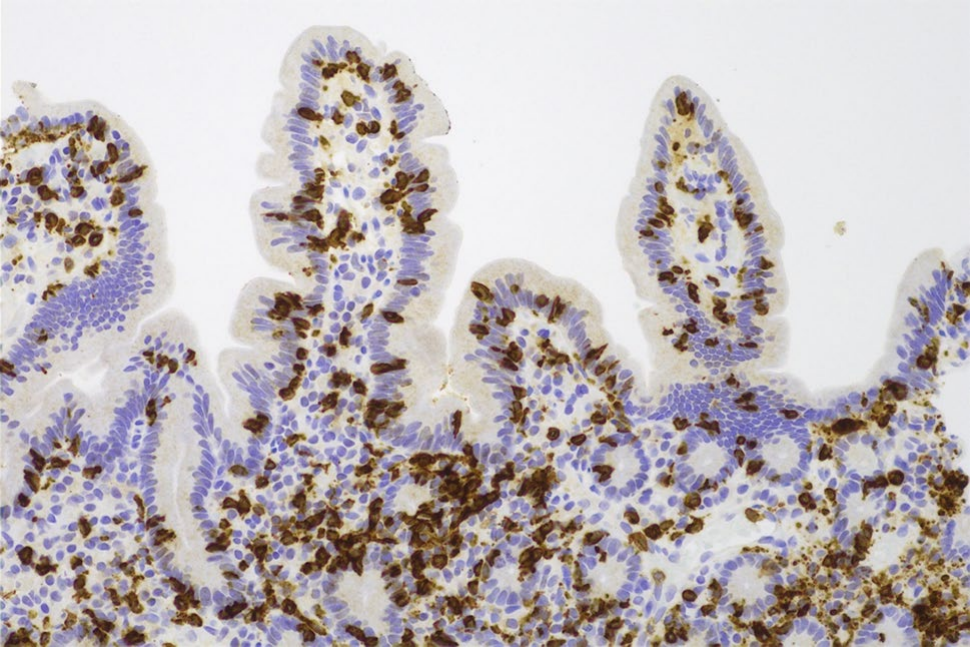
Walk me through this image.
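Numerous brown cells lie inside the epithelial layer, wedged between the blue-stained, elongated epithelial nuclei along the villi and around the crypts. Further brown lymphocytes fill the lamina propria in the villus cores and, most densely, between the crypts. The villi are fairly short and broad, and the columnar cells have a pale brush border at their surface.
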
